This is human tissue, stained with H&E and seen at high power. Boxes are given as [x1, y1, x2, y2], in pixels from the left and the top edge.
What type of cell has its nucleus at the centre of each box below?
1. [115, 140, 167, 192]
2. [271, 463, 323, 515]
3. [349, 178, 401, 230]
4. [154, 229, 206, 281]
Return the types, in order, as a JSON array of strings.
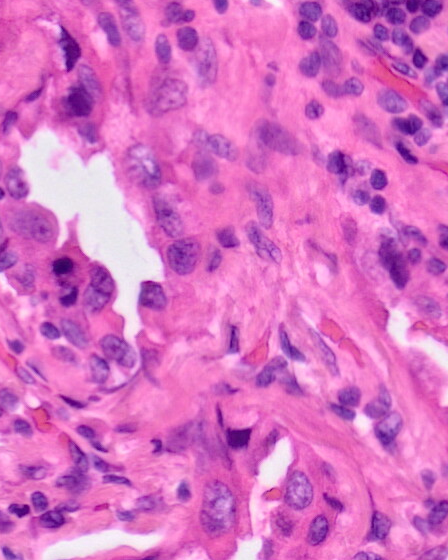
["carcinoma cell", "carcinoma cell", "lymphocyte", "carcinoma cell"]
